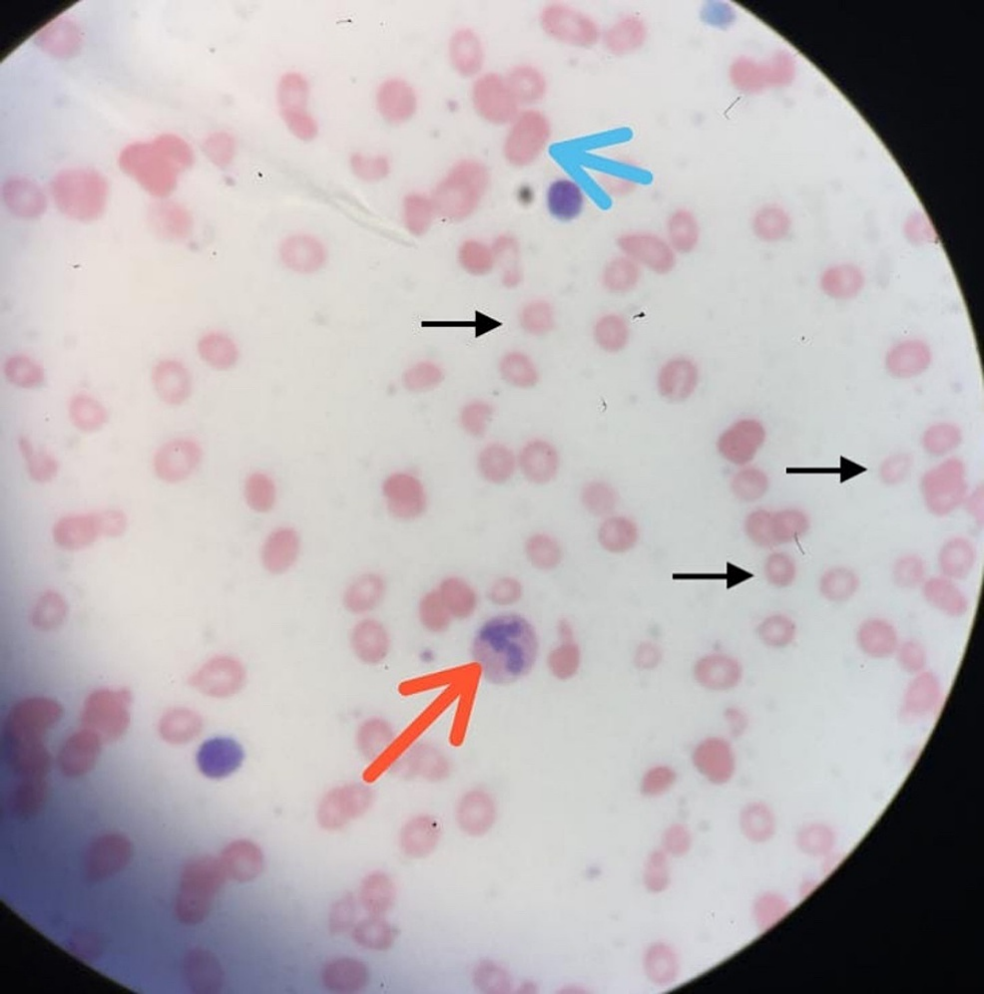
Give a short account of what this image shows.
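This is a blood smear in which most cells are pink, anucleate red cells with pale centres, and they vary clearly in size and shape. Some red cells are small and round, while others are larger and oval. Near the middle lies a white cell whose purple nucleus is divided into several lobes linked by thin strands, set in pale lilac cytoplasm. A few small, round, dark purple cells are scattered elsewhere in the field.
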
